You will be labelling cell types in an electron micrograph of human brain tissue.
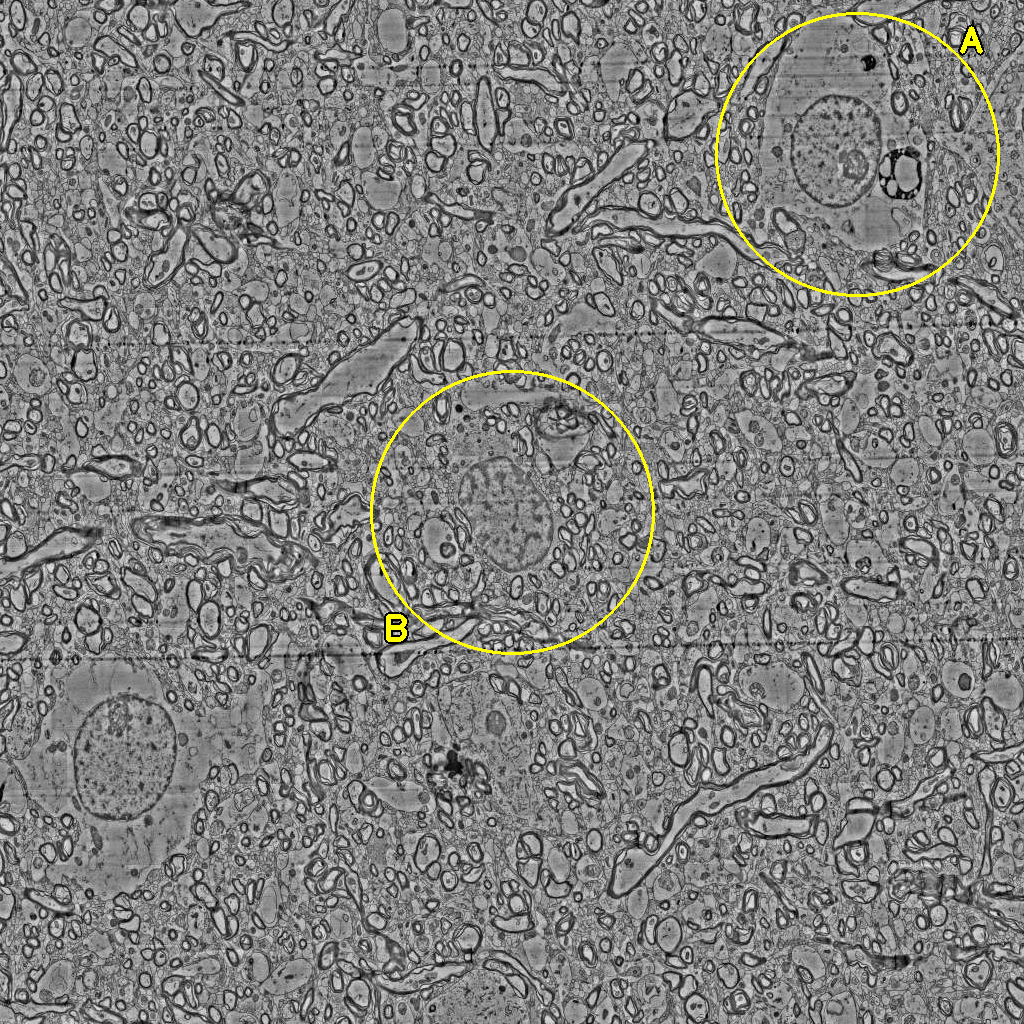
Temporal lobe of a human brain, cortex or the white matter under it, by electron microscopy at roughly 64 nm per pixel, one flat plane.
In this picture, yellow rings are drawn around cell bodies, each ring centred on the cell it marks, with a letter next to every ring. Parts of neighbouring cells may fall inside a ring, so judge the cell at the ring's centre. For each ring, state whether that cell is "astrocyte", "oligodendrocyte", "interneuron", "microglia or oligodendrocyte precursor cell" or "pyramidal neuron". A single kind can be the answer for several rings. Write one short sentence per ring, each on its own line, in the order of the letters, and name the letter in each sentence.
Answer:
Ring A contains an astrocyte at its centre.
Ring B contains an oligodendrocyte at its centre.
